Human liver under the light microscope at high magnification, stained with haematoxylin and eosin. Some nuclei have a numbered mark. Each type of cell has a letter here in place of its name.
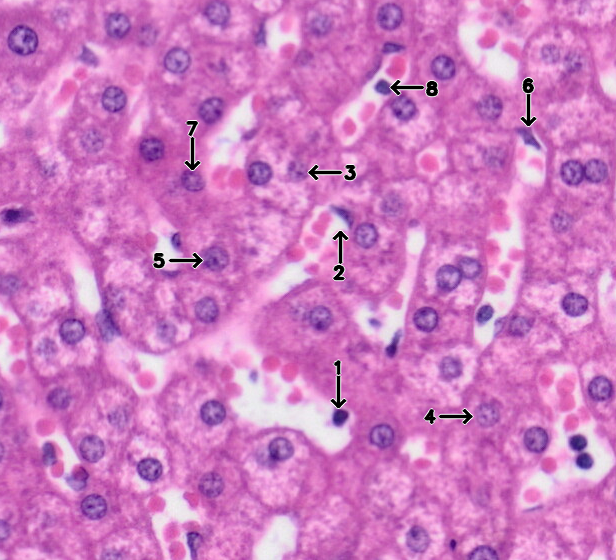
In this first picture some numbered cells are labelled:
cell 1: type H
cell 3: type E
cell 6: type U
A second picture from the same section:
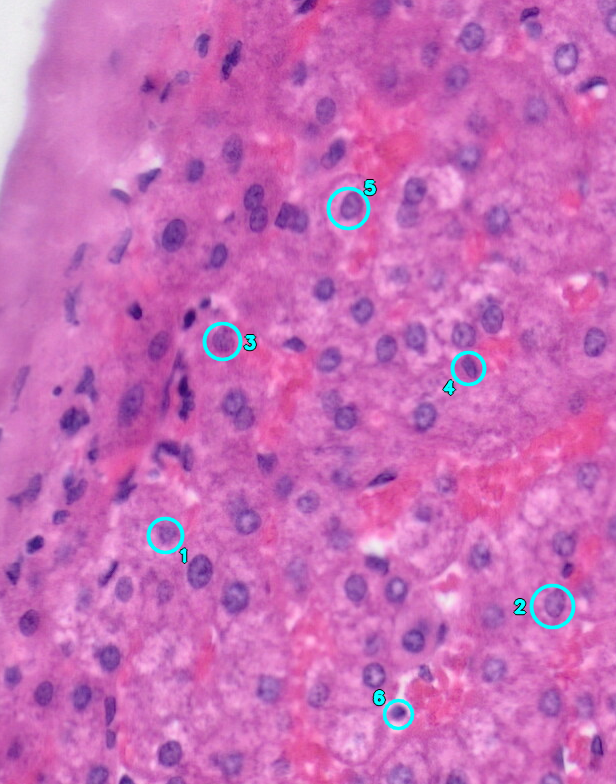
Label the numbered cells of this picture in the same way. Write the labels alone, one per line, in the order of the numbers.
type E
type E
type E
type U
type E
type H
